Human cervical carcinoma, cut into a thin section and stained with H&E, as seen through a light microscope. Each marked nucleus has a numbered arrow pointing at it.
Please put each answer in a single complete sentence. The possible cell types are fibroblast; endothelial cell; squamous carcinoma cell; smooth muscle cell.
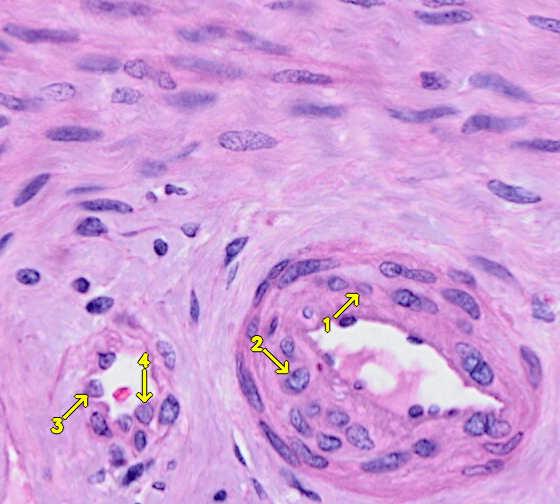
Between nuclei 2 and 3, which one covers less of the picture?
Nucleus 3 is the smaller one; nucleus 2 covers about 1.5 times its area.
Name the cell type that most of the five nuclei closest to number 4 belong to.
Smooth muscle cells make up most of the five nuclei closest to number 4.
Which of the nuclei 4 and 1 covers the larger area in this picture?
Nucleus 4 covers more area, about 1.5 times as much as nucleus 1.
